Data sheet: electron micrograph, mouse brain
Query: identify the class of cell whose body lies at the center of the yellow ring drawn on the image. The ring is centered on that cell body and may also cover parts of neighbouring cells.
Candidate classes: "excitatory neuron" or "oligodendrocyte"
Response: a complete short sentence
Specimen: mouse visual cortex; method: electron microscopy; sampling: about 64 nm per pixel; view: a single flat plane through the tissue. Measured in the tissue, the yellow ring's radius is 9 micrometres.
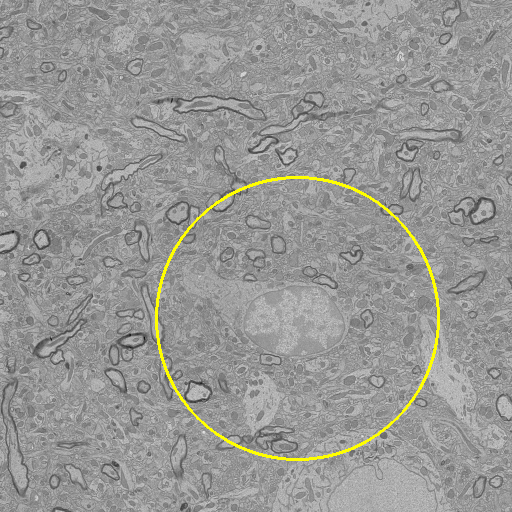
At the center of the ring lies an oligodendrocyte.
